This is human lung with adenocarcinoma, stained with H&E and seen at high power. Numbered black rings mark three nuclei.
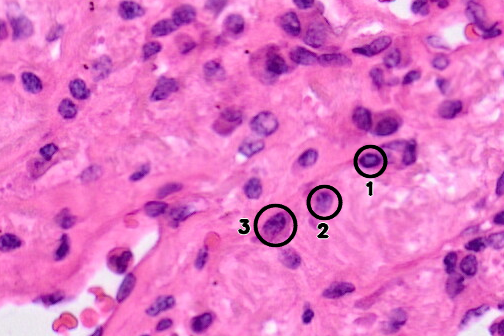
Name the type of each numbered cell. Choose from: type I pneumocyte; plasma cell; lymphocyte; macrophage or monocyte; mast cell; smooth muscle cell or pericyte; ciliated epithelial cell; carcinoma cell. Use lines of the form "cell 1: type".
cell 1: mast cell
cell 2: plasma cell
cell 3: plasma cell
